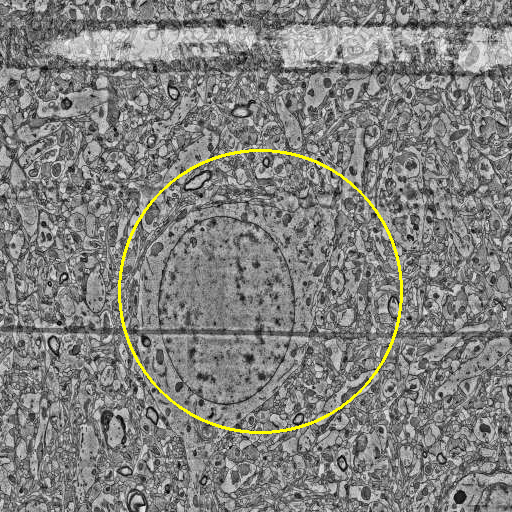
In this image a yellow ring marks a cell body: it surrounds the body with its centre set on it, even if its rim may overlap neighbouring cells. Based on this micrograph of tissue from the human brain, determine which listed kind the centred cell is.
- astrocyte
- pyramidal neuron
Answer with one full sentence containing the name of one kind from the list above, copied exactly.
It is a pyramidal neuron whose body the yellow ring encloses at its centre.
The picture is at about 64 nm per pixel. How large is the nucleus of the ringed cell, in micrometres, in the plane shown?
In this plane the nucleus measures roughly 12 by 9 micrometres.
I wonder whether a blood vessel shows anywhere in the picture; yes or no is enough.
No, none appears.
